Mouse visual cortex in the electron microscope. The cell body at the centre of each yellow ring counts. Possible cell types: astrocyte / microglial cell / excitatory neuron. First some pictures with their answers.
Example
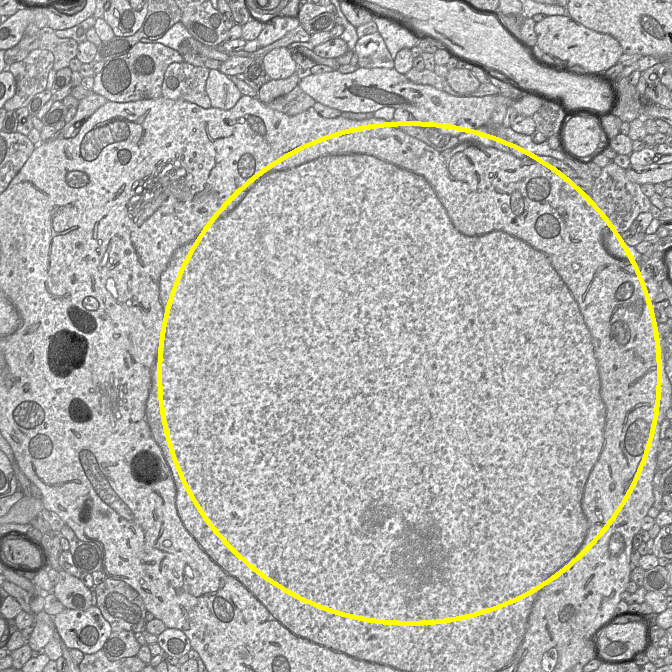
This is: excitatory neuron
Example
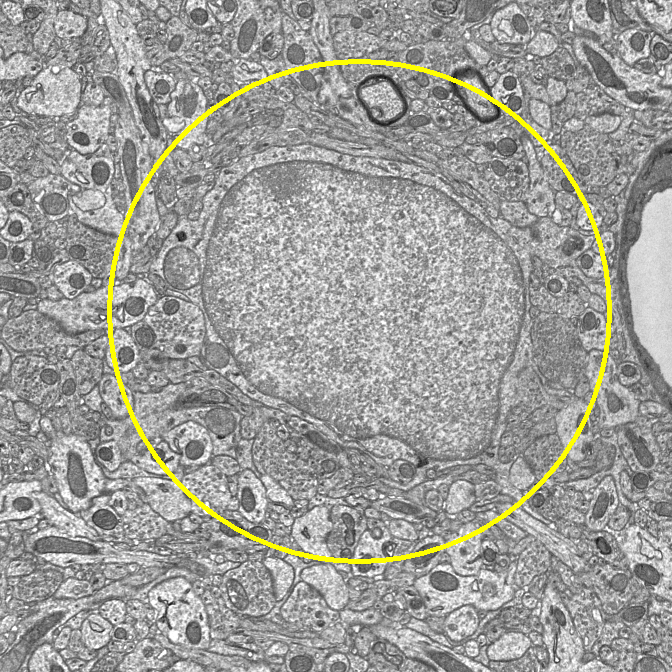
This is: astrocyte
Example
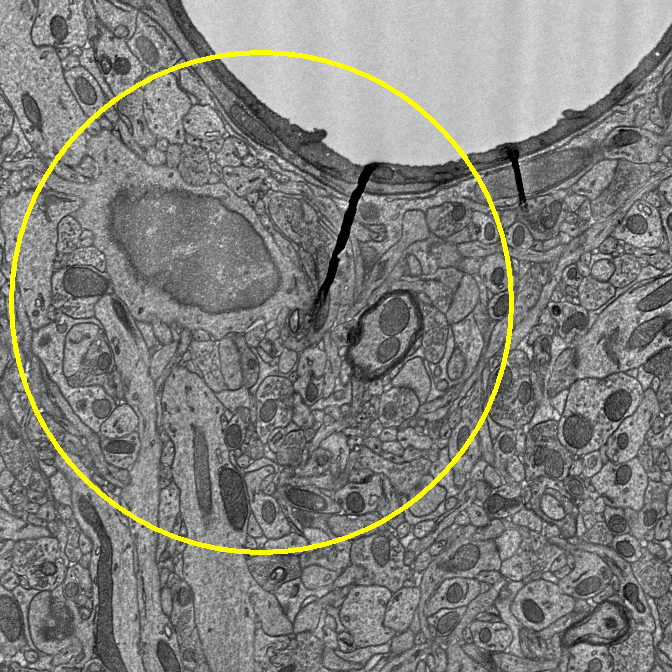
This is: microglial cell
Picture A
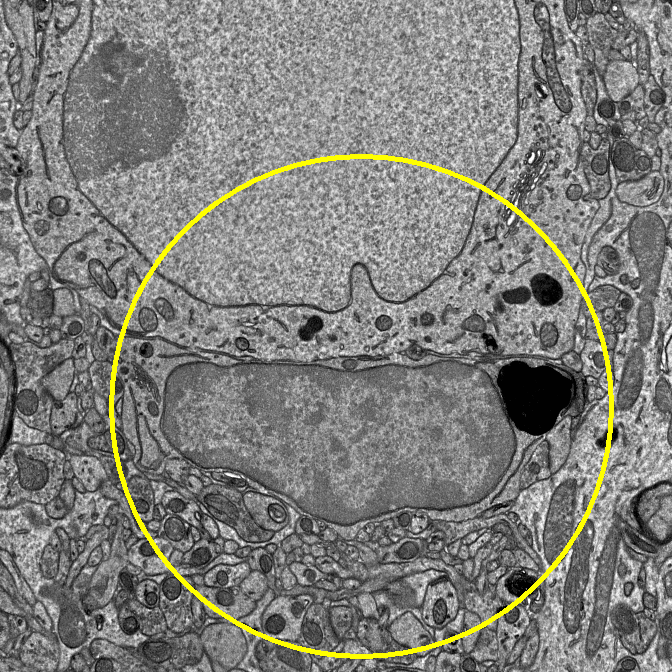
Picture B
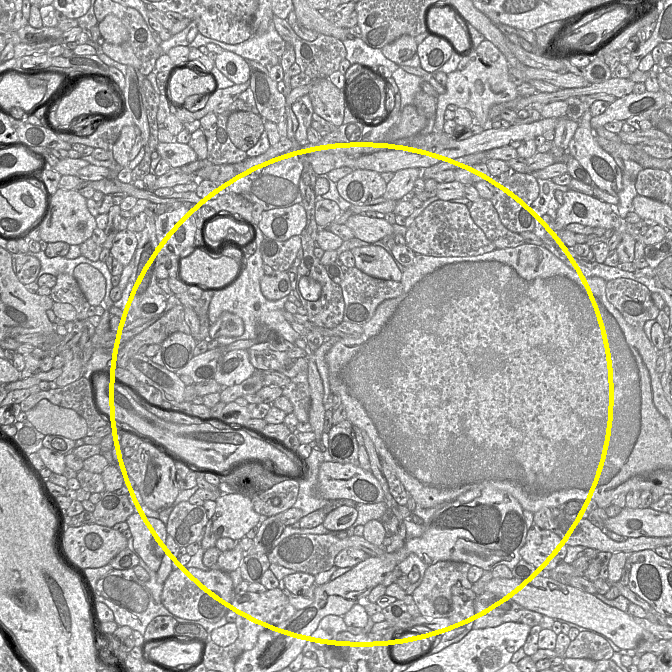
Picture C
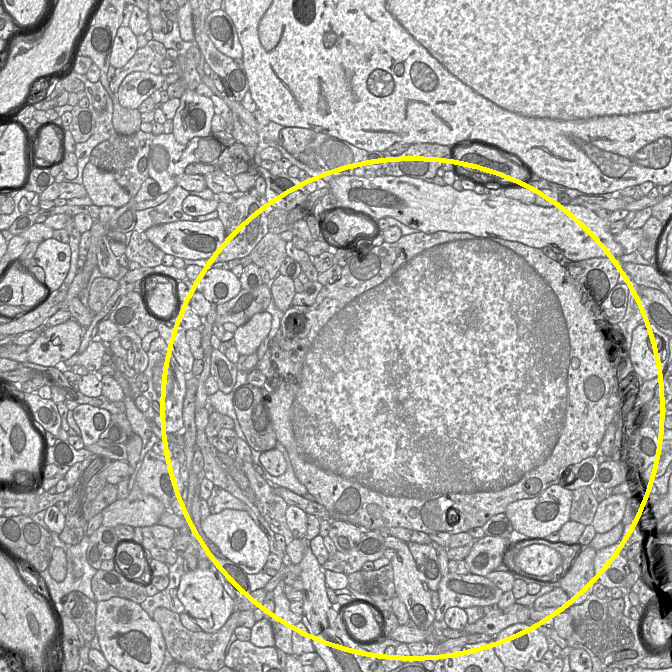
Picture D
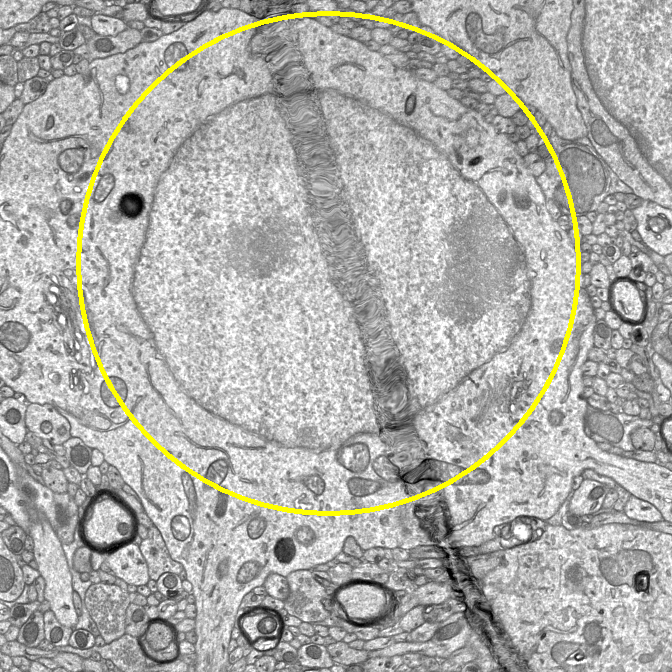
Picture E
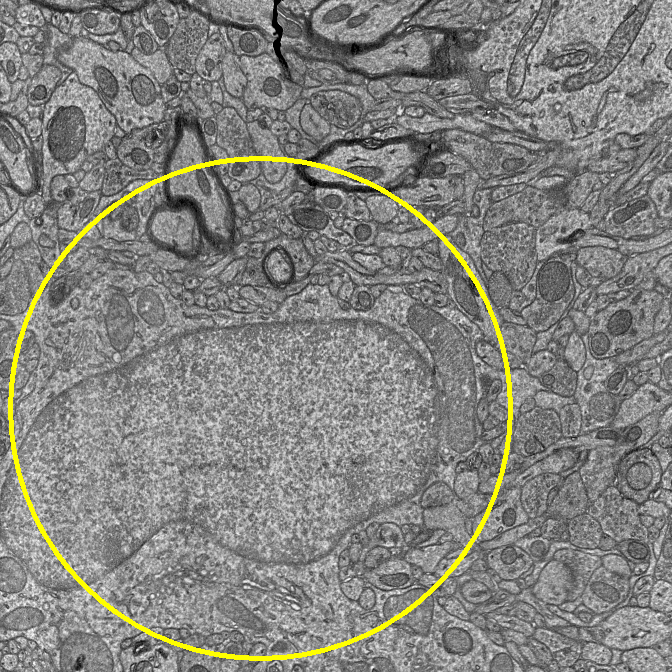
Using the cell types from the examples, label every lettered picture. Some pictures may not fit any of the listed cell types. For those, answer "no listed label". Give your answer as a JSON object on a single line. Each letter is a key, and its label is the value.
{"A": "microglial cell", "B": "microglial cell", "C": "no listed label", "D": "excitatory neuron", "E": "astrocyte"}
